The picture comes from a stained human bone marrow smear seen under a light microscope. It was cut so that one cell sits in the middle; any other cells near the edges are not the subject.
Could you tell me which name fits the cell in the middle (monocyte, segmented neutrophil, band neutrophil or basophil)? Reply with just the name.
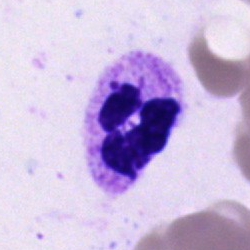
segmented neutrophil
